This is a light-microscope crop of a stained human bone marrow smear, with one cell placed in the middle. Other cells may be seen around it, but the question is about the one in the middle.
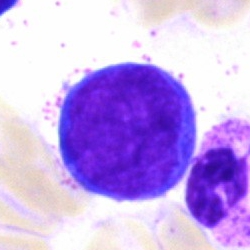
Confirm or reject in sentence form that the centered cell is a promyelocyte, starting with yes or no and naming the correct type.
No, in this crop the middle cell is a proerythroblast, not a promyelocyte.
